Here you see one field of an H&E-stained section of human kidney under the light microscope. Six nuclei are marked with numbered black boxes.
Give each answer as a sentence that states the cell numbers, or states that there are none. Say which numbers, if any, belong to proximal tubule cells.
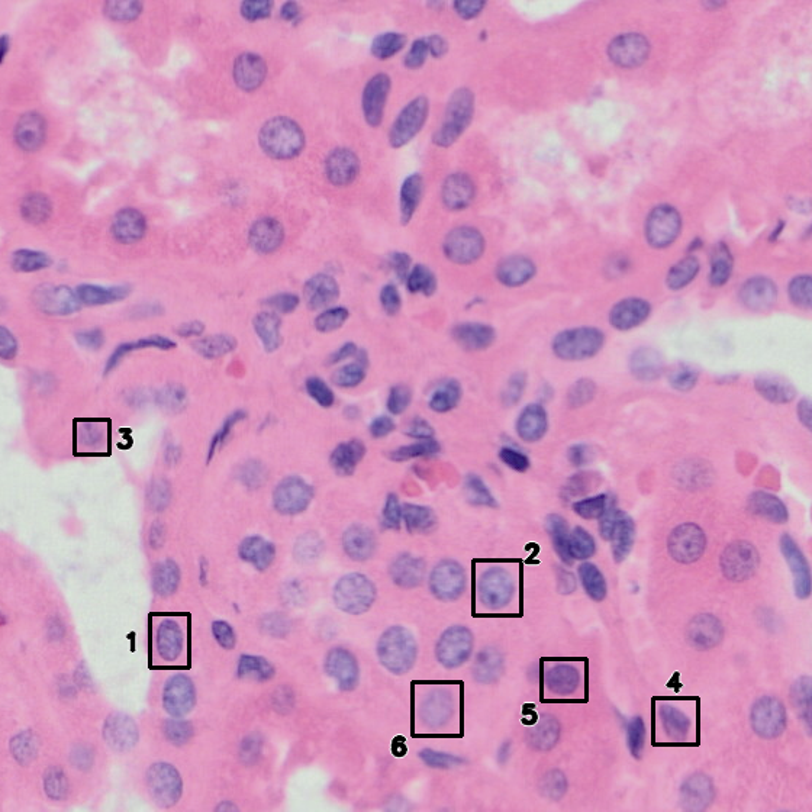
Cell 5 is a proximal tubule cell, and that holds for no other numbered cell.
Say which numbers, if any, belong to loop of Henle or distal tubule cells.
Cells 1, 2, 3 and 6 share one type; they are loop of Henle or distal tubule cells.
